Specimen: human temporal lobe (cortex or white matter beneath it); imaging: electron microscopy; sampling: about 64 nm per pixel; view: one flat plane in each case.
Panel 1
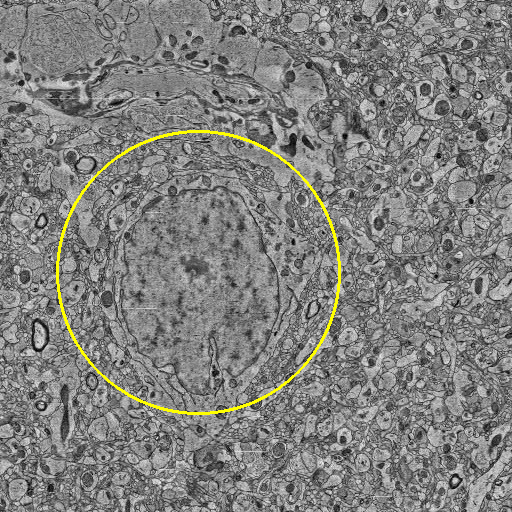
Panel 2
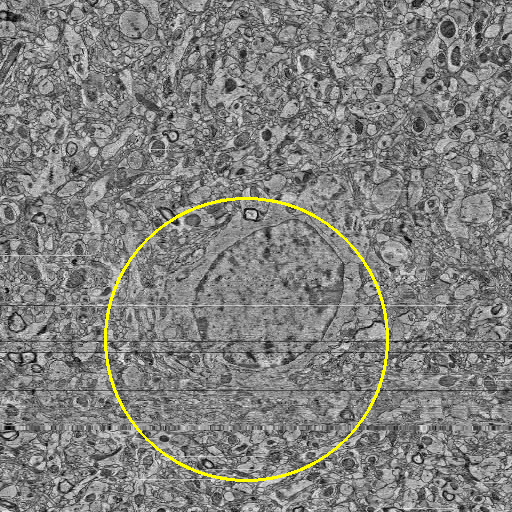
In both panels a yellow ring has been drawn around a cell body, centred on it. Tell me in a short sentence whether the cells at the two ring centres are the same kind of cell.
No, they are two kinds of cell.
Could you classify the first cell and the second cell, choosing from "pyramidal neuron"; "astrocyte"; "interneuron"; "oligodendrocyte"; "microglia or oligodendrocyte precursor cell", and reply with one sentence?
The second cell is a microglial cell or oligodendrocyte precursor cell, while the first is an interneuron.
